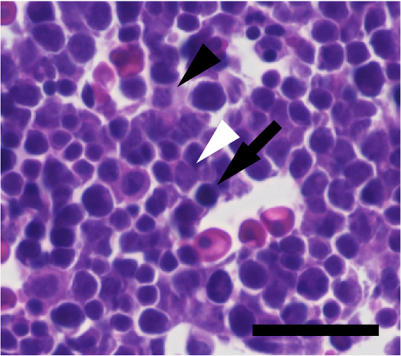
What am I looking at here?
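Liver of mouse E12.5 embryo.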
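The blood-forming cells are small and round, with dark purple, dense nuclei and only a thin rim of cytoplasm. The hepatoblasts are bigger, with larger, paler nuclei and more purple cytoplasm. Small open spaces are the vessels, holding pink-red blood cells, and some hepatoblasts touch them directly while others are kept from them by a blood-forming cell in between.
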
